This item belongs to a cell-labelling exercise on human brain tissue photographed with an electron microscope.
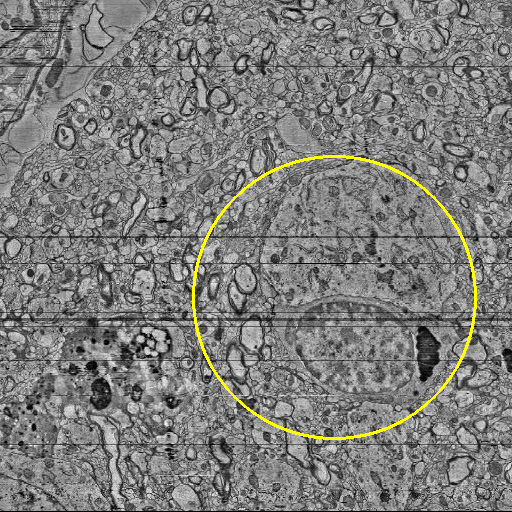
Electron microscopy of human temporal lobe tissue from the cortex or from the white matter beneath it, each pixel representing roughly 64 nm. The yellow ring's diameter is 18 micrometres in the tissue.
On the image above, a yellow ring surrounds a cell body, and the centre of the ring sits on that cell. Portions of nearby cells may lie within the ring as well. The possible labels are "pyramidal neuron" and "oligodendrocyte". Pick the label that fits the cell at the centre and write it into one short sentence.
This cell should be labelled as an oligodendrocyte.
